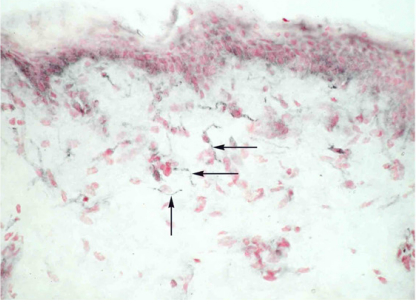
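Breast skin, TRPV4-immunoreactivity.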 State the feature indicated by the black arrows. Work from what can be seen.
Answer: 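Thin, dark, thread-like profiles lie in the connective tissue below the epidermis. The arrows point at these fine dark threads among scattered nuclei.
Answer: fibres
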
